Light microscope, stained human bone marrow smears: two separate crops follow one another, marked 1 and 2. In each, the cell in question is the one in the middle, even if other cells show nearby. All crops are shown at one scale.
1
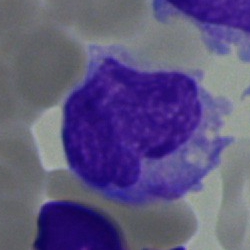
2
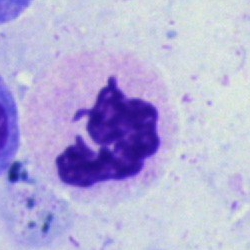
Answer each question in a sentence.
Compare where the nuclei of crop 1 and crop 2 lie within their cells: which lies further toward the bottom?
Seen within its cell, the nucleus in crop 2 lies further toward the bottom.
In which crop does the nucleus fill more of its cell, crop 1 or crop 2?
In crop 1 the nucleus takes up the larger part of its cell.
